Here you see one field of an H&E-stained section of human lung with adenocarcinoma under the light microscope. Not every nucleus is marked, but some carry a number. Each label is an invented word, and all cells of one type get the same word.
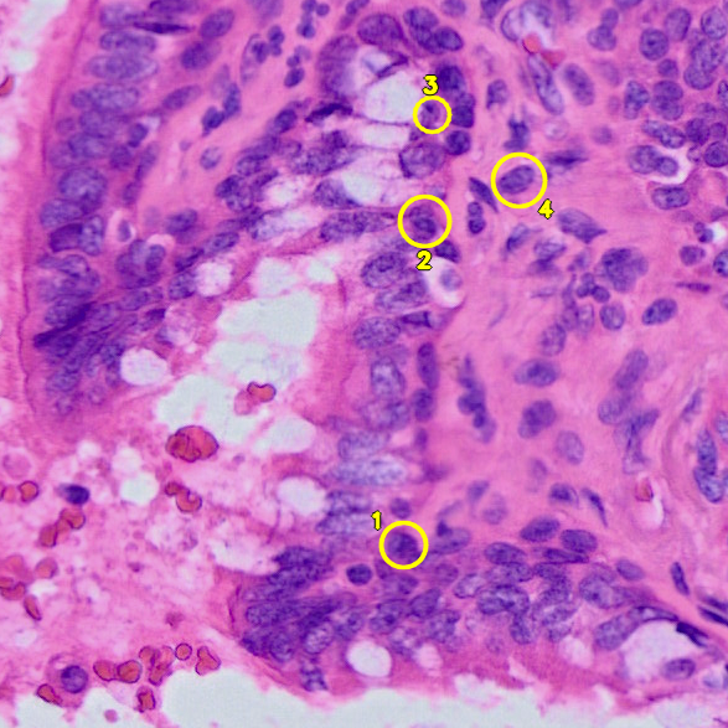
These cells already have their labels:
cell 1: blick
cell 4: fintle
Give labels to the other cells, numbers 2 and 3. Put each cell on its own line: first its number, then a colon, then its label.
2: blick
3: blick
